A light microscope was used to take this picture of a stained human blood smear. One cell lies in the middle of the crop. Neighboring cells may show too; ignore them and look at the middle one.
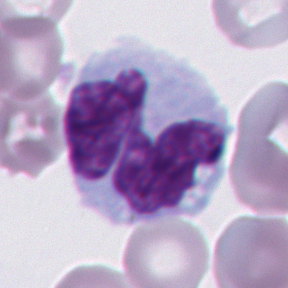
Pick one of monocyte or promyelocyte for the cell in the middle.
monocyte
